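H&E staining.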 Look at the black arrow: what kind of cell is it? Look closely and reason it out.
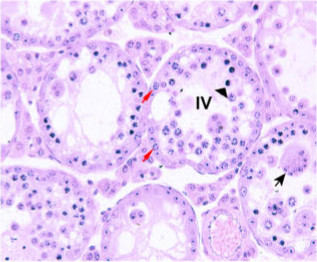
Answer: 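The arrow points to a cell much larger than its neighbours. Several nuclei lie within one shared cytoplasm. The cell lies toward the tubule lumen.
Answer: large multinucleated giant cells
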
